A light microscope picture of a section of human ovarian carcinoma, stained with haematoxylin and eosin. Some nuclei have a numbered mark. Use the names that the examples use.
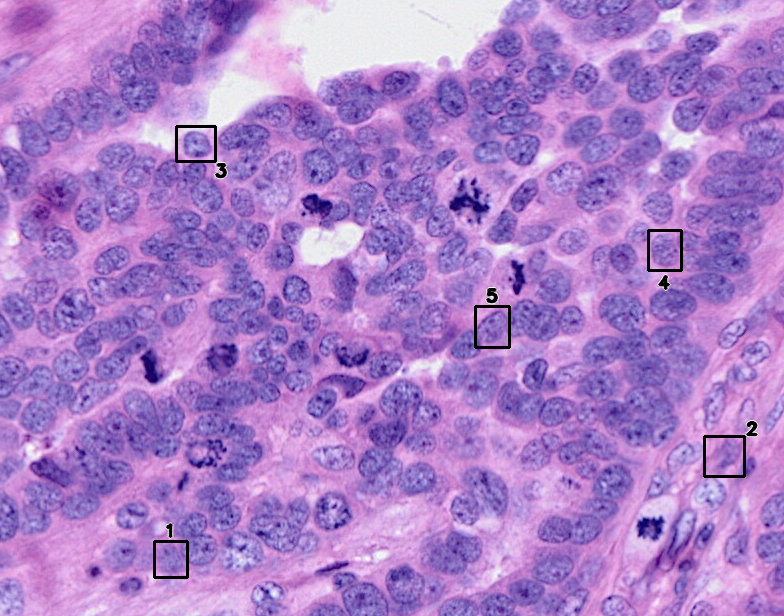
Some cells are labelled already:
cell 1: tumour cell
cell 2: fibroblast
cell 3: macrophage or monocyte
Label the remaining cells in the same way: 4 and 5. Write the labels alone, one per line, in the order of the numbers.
tumour cell
tumour cell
